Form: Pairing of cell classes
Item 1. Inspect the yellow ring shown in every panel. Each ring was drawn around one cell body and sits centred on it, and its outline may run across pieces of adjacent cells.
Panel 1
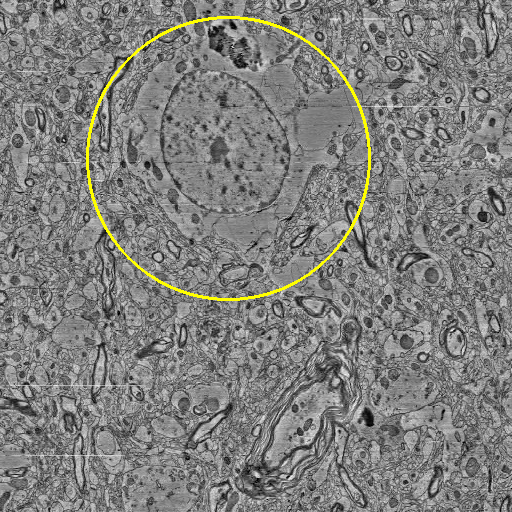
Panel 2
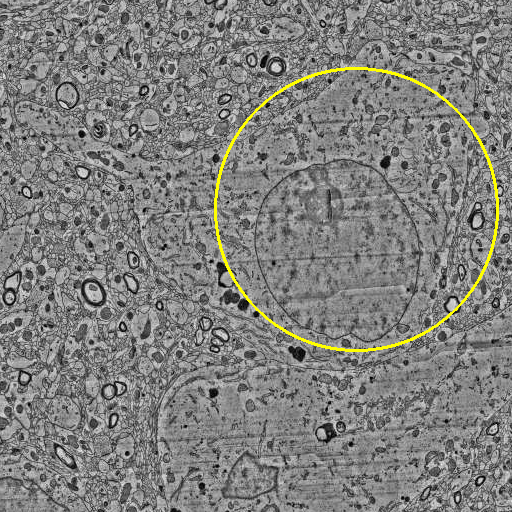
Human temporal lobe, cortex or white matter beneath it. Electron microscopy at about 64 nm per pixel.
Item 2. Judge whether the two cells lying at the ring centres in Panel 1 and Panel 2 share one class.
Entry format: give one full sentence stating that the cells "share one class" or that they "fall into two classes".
The cells at the ring centres in Panel 1 and Panel 2 fall into two classes.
